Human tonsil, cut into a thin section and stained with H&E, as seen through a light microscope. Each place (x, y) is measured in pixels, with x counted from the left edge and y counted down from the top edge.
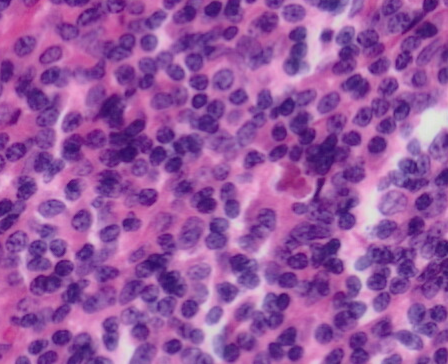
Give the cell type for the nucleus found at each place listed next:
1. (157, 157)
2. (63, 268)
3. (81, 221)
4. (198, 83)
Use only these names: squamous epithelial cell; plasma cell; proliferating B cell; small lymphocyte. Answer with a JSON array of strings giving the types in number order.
["small lymphocyte", "small lymphocyte", "plasma cell", "small lymphocyte"]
